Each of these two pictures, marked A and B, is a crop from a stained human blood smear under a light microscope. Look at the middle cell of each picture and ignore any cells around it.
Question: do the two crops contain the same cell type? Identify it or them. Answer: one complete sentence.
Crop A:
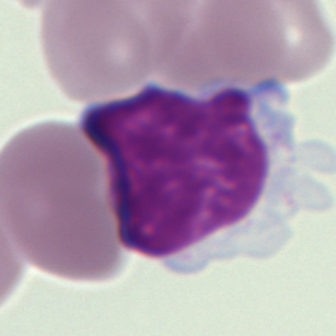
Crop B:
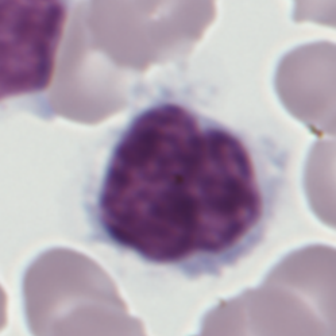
No, as for crop A, it shows a large granular lymphocyte, and crop B shows a hairy cell.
